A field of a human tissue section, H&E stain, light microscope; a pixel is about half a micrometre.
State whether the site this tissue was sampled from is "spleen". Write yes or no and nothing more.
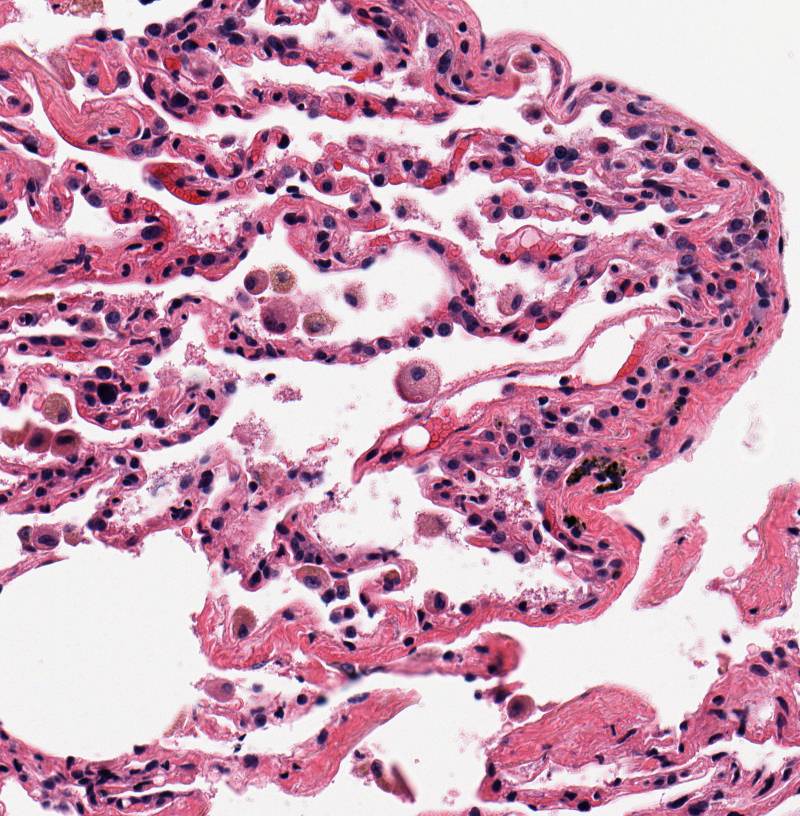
no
